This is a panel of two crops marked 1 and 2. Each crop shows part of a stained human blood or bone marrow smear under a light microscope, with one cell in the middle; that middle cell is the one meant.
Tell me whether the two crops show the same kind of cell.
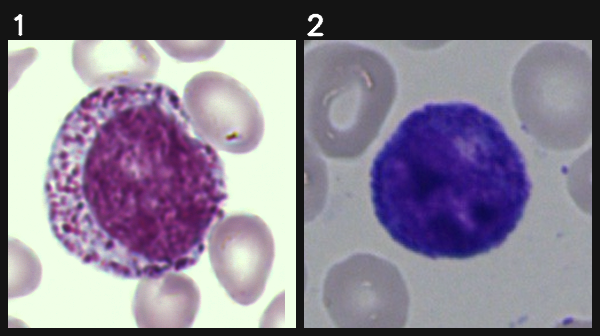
no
